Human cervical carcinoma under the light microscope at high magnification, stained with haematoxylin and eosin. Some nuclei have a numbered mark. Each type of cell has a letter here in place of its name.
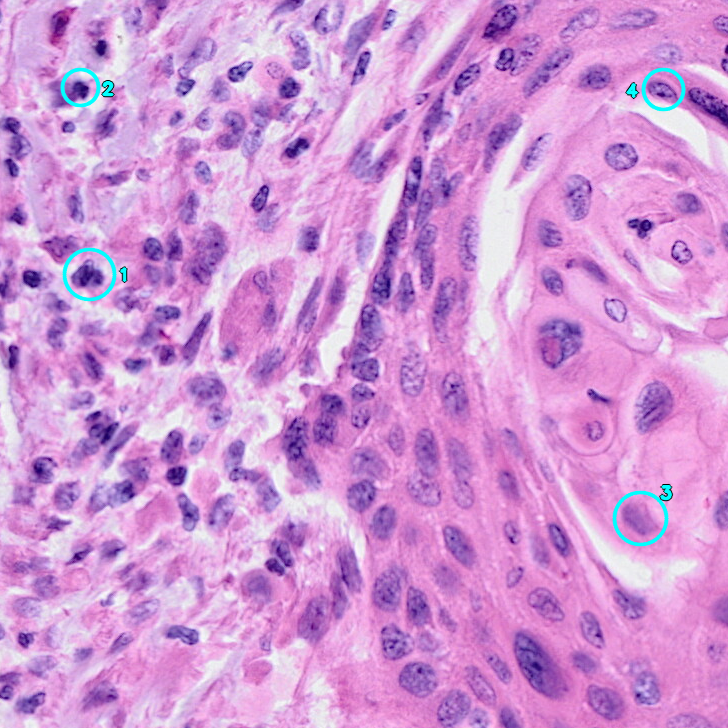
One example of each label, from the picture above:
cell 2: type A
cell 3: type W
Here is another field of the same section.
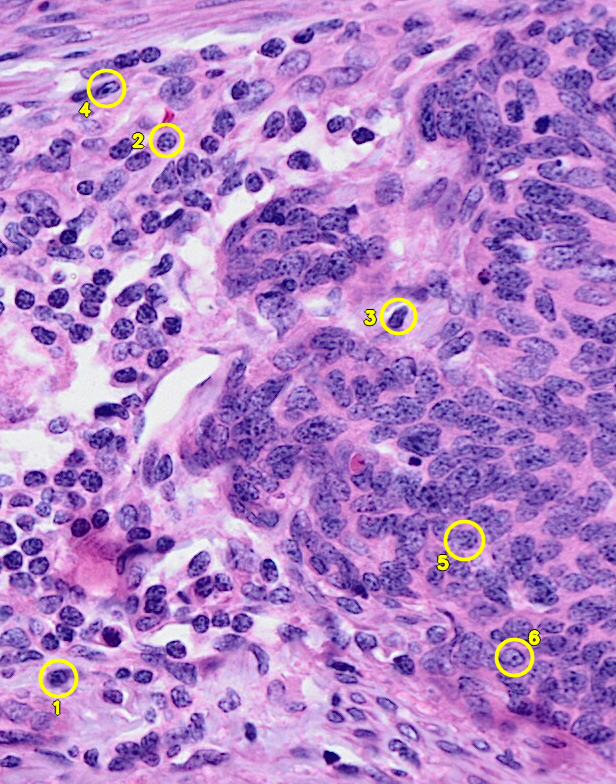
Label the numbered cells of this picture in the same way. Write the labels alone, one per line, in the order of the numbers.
type A
type A
type A
type A
type W
type W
